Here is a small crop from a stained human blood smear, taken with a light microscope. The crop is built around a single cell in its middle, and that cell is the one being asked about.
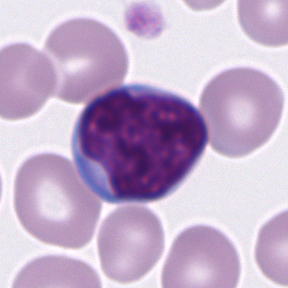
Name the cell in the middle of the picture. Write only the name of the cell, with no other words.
typical lymphocyte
